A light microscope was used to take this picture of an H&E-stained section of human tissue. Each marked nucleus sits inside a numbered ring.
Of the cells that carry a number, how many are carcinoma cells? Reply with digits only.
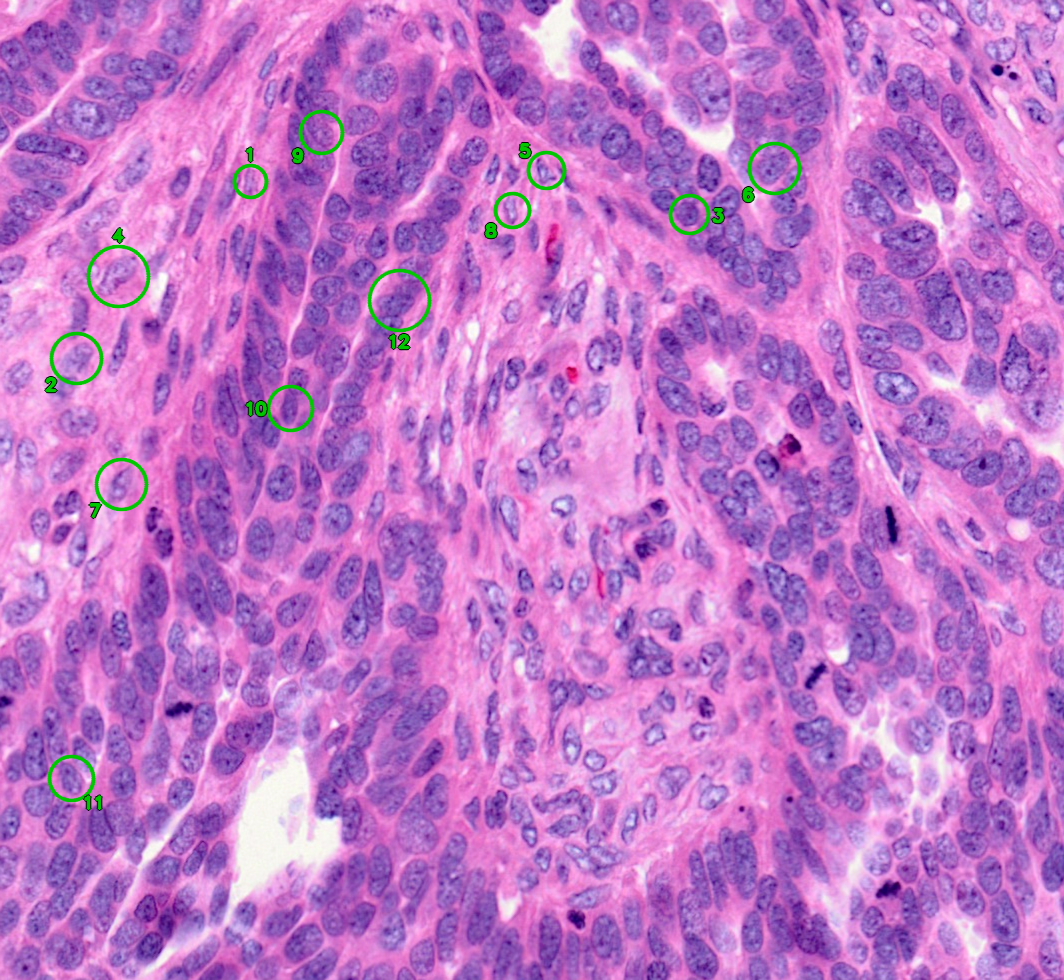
6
